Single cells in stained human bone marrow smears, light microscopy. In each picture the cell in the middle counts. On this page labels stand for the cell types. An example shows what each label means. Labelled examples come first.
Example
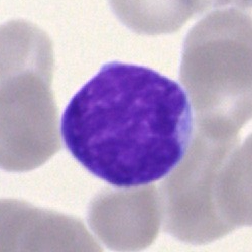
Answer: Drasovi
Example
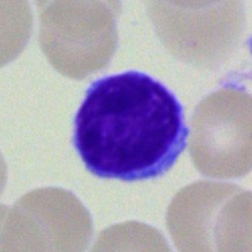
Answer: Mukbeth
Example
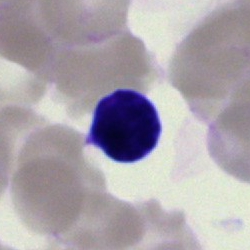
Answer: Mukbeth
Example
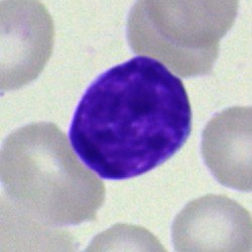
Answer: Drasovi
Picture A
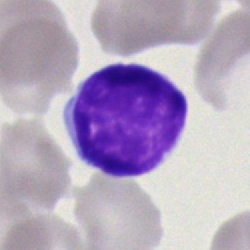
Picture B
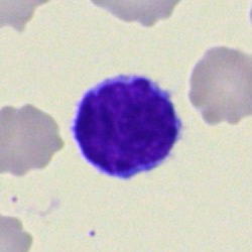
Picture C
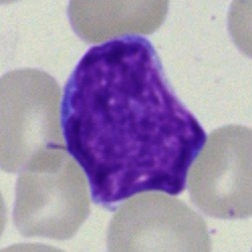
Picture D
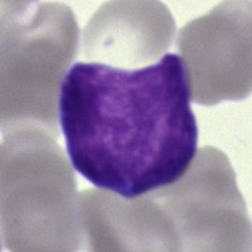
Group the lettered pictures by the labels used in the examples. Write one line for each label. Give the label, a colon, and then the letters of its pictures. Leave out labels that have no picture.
Drasovi: C, D
Mukbeth: A, B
